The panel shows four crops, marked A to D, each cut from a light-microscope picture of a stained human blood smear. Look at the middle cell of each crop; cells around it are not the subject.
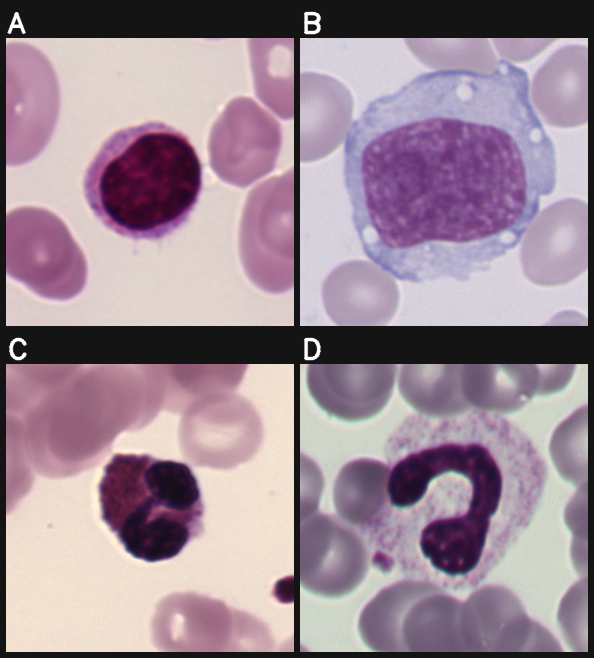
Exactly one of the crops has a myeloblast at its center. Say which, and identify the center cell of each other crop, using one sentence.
In the crop designated B, the cell is a myeloblast, while crop A is a large granular lymphocyte, crop C is an eosinophil and crop D is a segmented neutrophil.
